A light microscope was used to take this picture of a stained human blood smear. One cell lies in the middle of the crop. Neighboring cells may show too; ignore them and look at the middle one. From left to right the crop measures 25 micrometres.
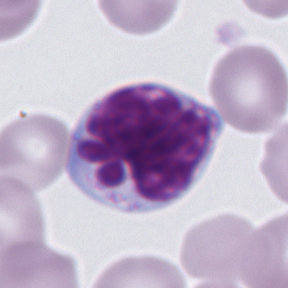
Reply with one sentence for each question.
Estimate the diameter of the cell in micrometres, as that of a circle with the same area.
It measures about 12 micrometres across.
